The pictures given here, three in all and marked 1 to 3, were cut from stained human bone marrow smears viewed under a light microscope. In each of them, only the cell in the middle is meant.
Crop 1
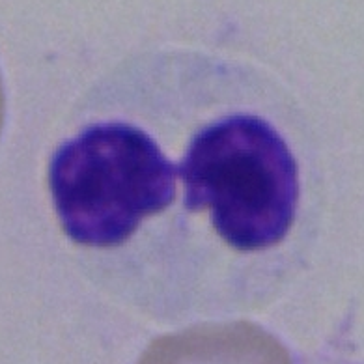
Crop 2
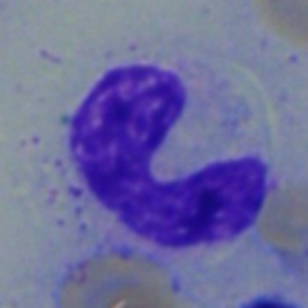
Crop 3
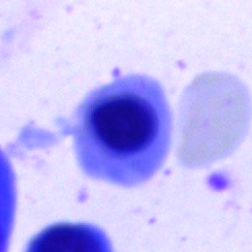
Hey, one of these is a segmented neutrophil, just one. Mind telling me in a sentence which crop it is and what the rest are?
Crop 1 shows a segmented neutrophil, and as for the other crops, crop 2 is a band neutrophil and crop 3 is an erythroblast.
